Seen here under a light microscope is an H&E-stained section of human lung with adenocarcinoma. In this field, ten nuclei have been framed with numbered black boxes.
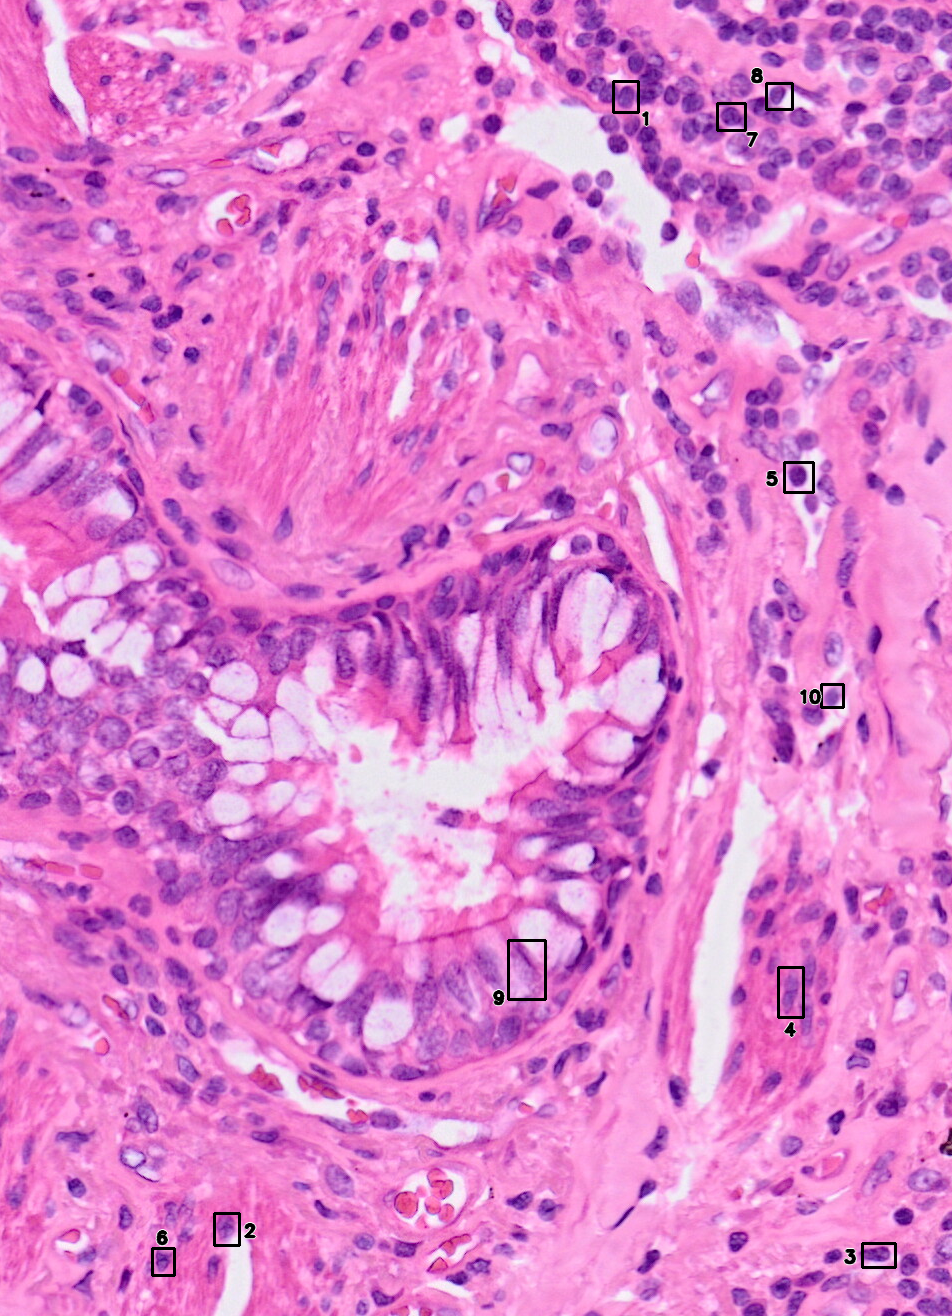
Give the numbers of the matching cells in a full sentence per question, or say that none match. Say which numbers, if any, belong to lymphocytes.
Cells 1, 3, 5, 7, 8 and 10 share one type; they are lymphocytes.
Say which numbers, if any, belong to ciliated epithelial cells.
Cell 9 is a ciliated epithelial cell, and it is the only one.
